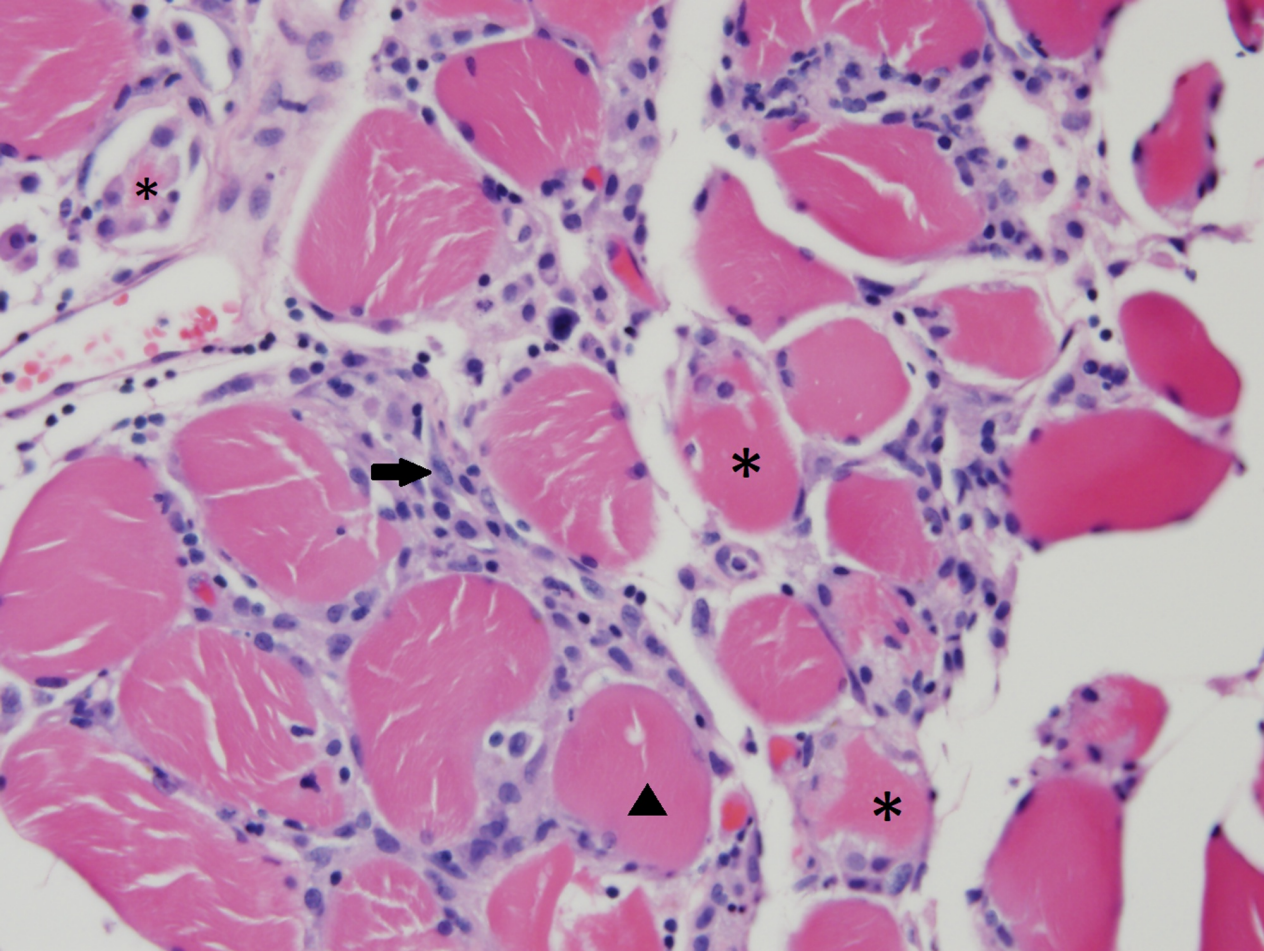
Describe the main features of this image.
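Skeletal muscle is seen in cross-section, with eosinophilic myofibers of clearly unequal size and shape, some rounded and others polygonal. Most fibers have homogeneous pink cytoplasm, and their flattened dark nuclei sit at the periphery. A few fibers are paler and more granular, and small mononuclear cells lie within their outlines, consistent with necrotic fibers undergoing myophagocytosis. The endomysium between the fibers is widened and filled with numerous mononuclear cells with oval to bean-shaped nuclei and pale cytoplasm, taken as macrophages. Small vessels with red blood cells are present between fibers, and no dense clusters of small dark lymphocytes are seen around them.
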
